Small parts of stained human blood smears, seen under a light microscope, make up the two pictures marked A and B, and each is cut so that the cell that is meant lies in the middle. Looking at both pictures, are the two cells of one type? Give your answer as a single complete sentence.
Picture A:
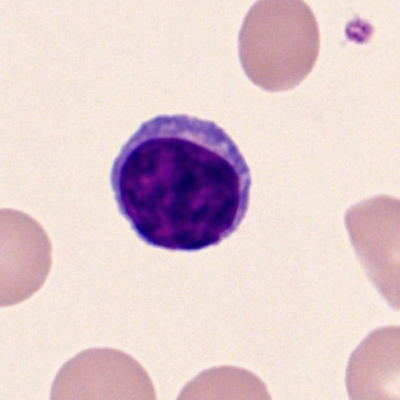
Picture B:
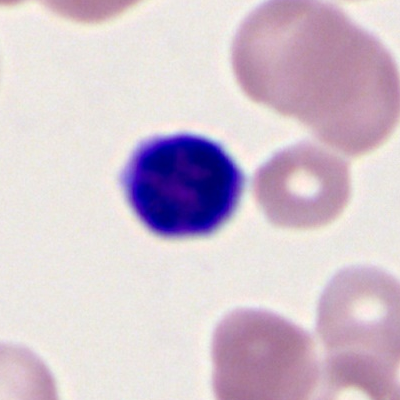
Yes, both are lymphocytes.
